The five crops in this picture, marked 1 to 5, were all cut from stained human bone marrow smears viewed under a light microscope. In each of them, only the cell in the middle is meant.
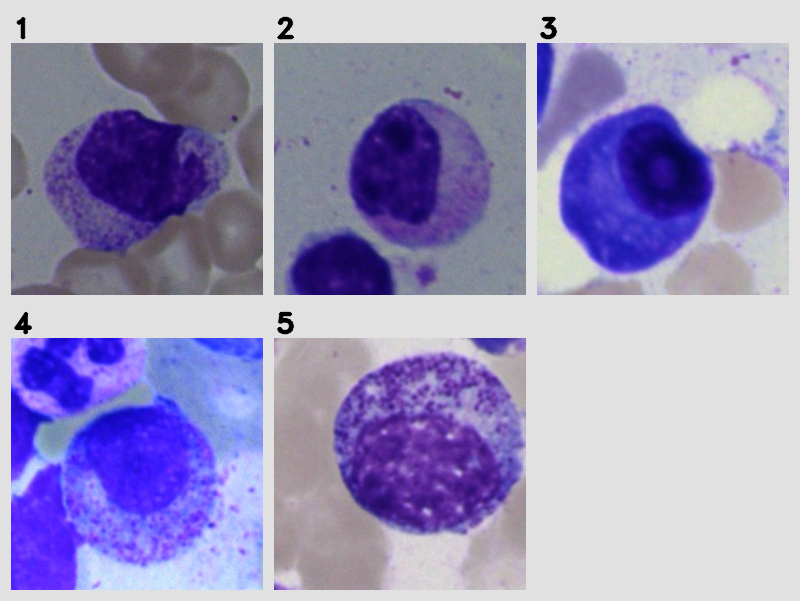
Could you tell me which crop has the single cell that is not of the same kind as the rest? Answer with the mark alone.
3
